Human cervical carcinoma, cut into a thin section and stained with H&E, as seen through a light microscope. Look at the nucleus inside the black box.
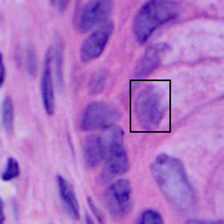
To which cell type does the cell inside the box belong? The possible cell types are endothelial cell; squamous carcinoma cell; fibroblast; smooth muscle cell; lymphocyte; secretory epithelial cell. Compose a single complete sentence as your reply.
Recorded by type, the cell inside the box is a secretory epithelial cell.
